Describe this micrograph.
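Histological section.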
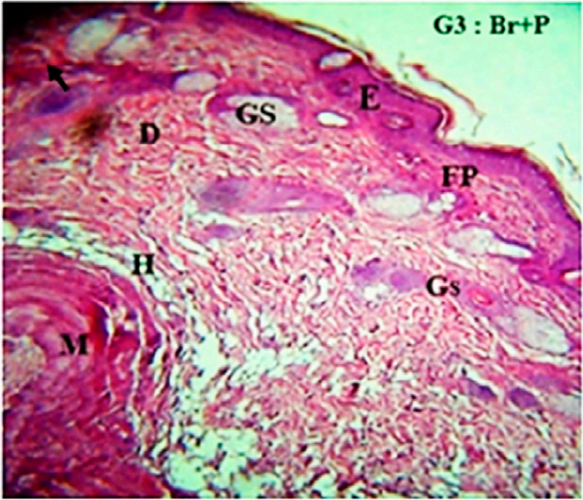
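This is a section of skin whose surface is covered by a thick, undulating epidermis that stains dark purple. In the dense pink dermis below lie hair follicles and pale, rounded glands, some opening toward the surface. Deeper down the hypodermis is loose with many clear spaces, and at one corner bundles of pink muscle fibres are cut in a whorled pattern.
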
